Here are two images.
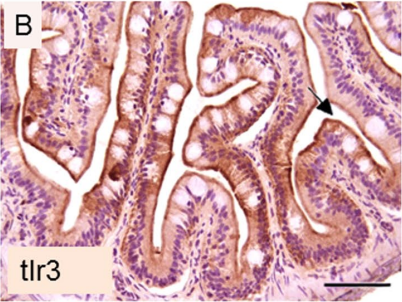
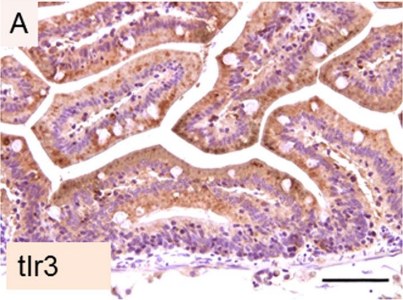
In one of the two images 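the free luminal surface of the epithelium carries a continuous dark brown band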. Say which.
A: the first image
